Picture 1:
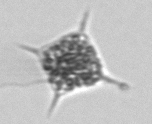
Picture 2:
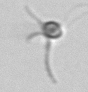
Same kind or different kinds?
Different: the first is a silicoflagellate, the second Ophiaster.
